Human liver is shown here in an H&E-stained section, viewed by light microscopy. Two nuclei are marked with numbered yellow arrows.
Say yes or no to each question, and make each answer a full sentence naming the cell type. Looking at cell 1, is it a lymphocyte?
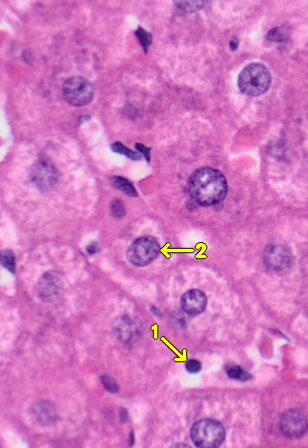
Yes, the nucleus numbered 1 belongs to a lymphocyte.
